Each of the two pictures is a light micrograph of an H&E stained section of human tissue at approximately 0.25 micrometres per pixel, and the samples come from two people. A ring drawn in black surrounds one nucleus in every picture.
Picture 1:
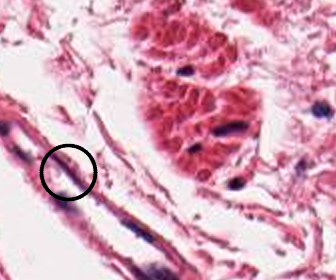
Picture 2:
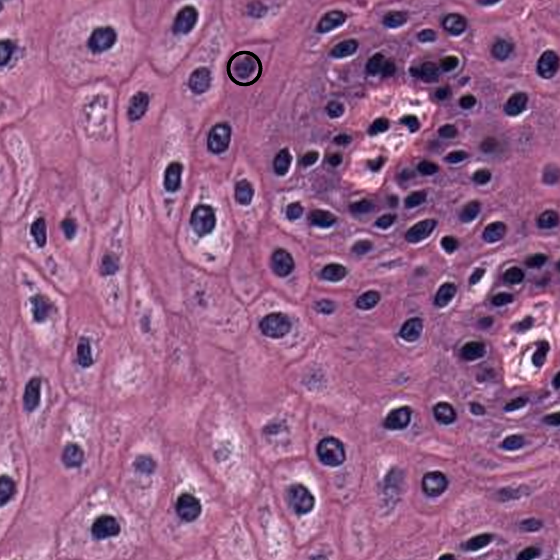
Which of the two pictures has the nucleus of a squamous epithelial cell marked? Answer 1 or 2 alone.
2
